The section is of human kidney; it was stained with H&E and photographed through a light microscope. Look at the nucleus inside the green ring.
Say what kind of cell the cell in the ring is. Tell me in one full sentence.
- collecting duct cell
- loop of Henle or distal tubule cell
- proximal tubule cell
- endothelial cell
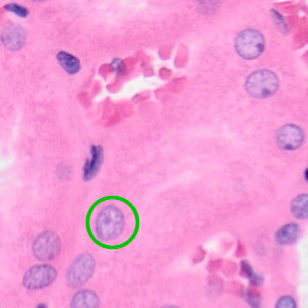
In this preparation, the cell in the ring is a proximal tubule cell.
